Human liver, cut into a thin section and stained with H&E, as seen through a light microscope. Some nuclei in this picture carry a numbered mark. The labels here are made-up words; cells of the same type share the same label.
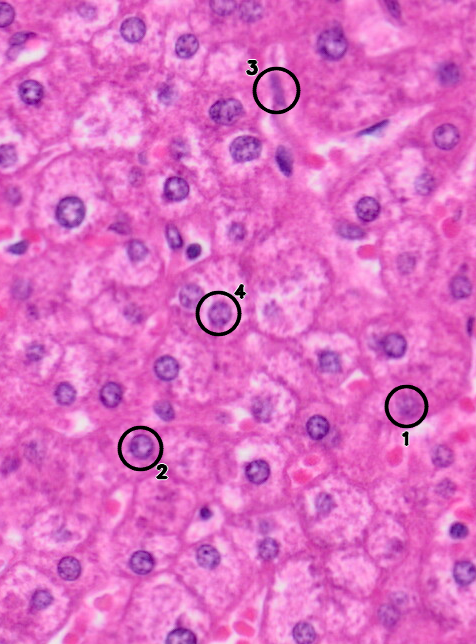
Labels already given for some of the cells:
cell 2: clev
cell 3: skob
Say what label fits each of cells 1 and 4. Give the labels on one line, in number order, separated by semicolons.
clev; clev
